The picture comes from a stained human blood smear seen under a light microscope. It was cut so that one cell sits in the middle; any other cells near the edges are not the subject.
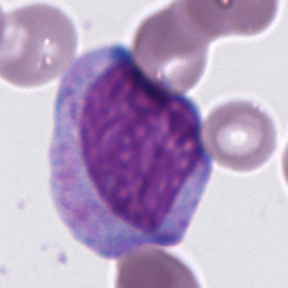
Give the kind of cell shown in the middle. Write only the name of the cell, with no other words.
atypical promyelocyte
